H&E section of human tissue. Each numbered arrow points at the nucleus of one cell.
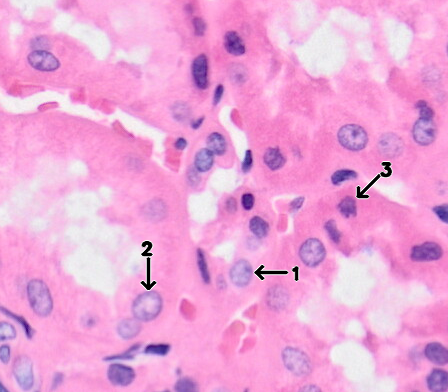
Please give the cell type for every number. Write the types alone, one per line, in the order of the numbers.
collecting duct cell
proximal tubule cell
proximal tubule cell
